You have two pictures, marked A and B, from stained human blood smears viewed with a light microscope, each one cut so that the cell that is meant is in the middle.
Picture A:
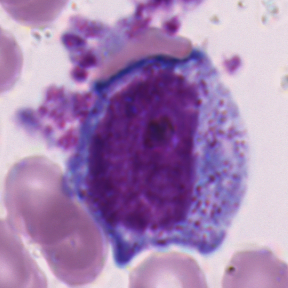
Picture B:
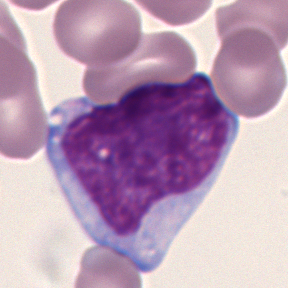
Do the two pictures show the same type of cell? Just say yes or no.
no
